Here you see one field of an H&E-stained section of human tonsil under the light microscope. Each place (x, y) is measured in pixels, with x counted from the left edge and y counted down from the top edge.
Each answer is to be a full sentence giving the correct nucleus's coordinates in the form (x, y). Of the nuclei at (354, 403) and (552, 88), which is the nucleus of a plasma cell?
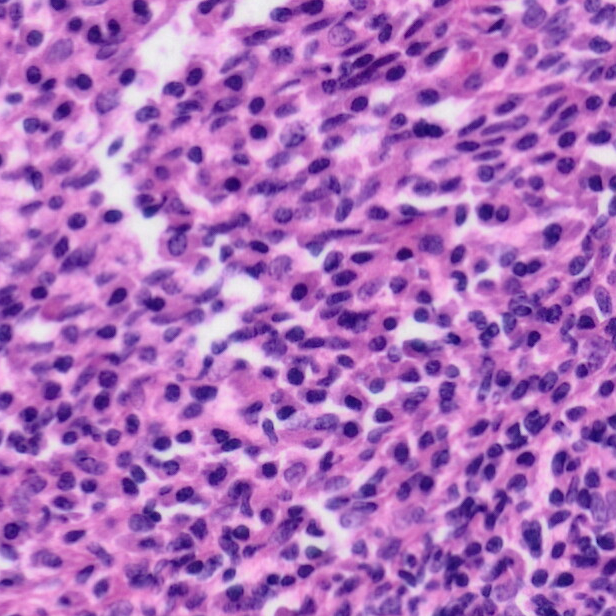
The one nucleus of the two that belongs to a plasma cell is at (354, 403).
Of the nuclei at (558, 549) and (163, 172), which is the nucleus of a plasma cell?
The nucleus at (163, 172), rather than the other one, belongs to a plasma cell.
